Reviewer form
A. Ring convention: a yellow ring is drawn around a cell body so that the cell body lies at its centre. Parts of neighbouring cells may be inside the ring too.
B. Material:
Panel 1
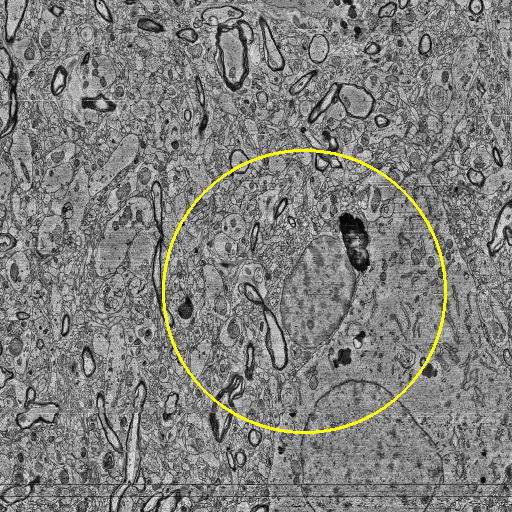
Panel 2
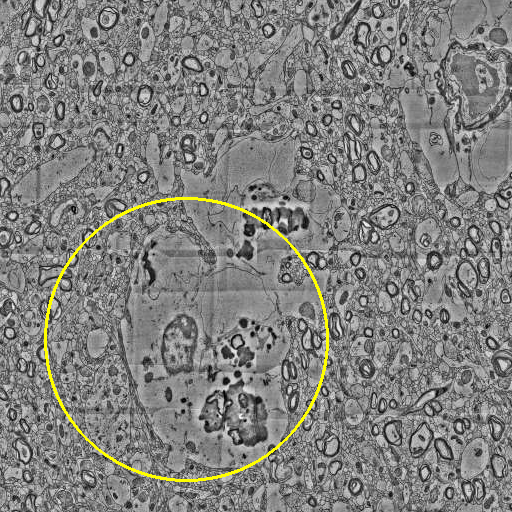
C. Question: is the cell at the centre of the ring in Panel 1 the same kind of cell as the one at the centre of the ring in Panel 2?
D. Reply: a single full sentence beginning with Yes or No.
No, the cells in Panel 1 and Panel 2 are two kinds of cell.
